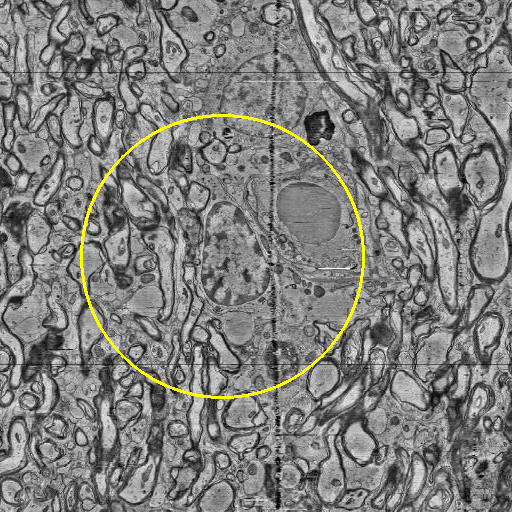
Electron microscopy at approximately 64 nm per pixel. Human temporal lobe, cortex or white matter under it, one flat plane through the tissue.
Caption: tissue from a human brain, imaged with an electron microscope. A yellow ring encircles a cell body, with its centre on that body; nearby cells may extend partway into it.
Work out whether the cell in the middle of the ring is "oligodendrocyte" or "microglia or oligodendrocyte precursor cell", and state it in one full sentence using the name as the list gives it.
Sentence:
In the picture, the cell that the yellow ring surrounds at its centre is a microglial cell or oligodendrocyte precursor cell.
